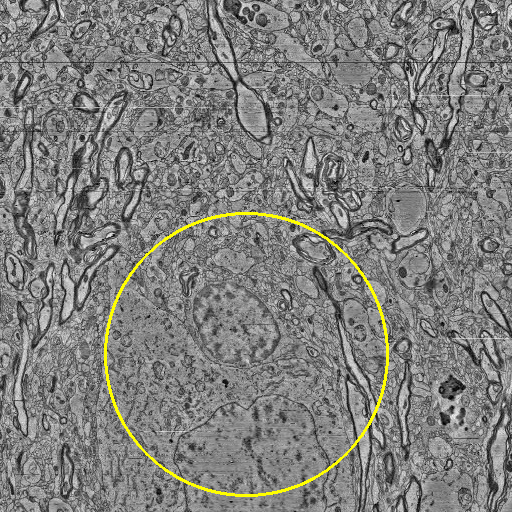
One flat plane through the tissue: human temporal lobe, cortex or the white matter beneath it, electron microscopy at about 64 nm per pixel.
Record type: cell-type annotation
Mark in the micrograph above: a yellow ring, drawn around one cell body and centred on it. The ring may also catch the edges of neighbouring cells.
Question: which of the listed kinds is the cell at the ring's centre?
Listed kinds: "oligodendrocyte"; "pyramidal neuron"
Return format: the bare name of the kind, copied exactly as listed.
oligodendrocyte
